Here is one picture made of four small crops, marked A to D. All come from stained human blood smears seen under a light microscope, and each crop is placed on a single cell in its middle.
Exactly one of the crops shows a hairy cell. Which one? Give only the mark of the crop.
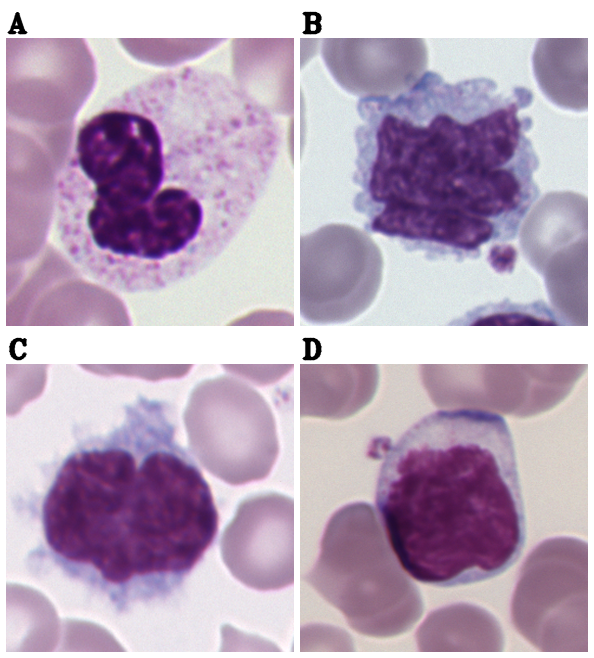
C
